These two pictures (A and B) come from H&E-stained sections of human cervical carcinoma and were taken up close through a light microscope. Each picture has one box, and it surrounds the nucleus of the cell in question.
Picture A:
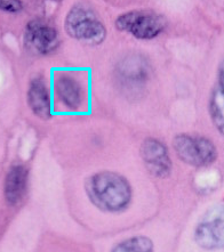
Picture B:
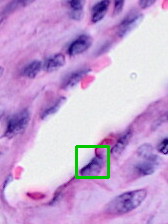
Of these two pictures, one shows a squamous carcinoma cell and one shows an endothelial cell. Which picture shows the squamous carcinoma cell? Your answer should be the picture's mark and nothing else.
A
